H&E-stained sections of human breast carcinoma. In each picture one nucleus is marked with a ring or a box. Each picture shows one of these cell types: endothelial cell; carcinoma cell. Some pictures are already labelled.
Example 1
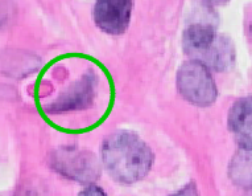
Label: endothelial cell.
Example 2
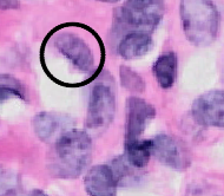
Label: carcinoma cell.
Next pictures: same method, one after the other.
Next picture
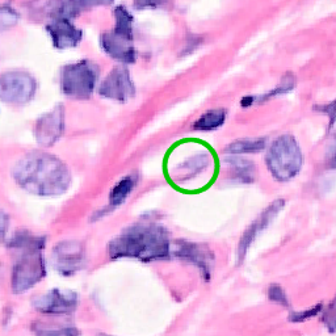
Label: endothelial cell.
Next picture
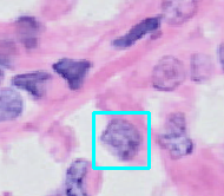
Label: carcinoma cell.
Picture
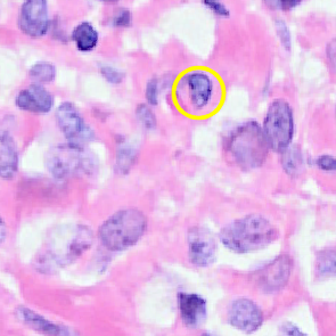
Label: endothelial cell.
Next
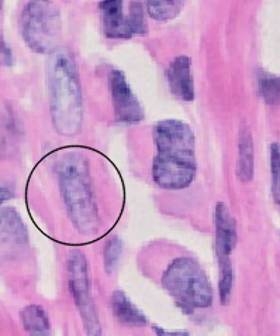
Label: endothelial cell.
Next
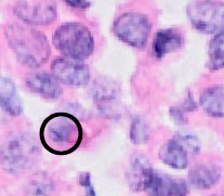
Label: endothelial cell.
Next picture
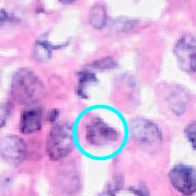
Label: carcinoma cell.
